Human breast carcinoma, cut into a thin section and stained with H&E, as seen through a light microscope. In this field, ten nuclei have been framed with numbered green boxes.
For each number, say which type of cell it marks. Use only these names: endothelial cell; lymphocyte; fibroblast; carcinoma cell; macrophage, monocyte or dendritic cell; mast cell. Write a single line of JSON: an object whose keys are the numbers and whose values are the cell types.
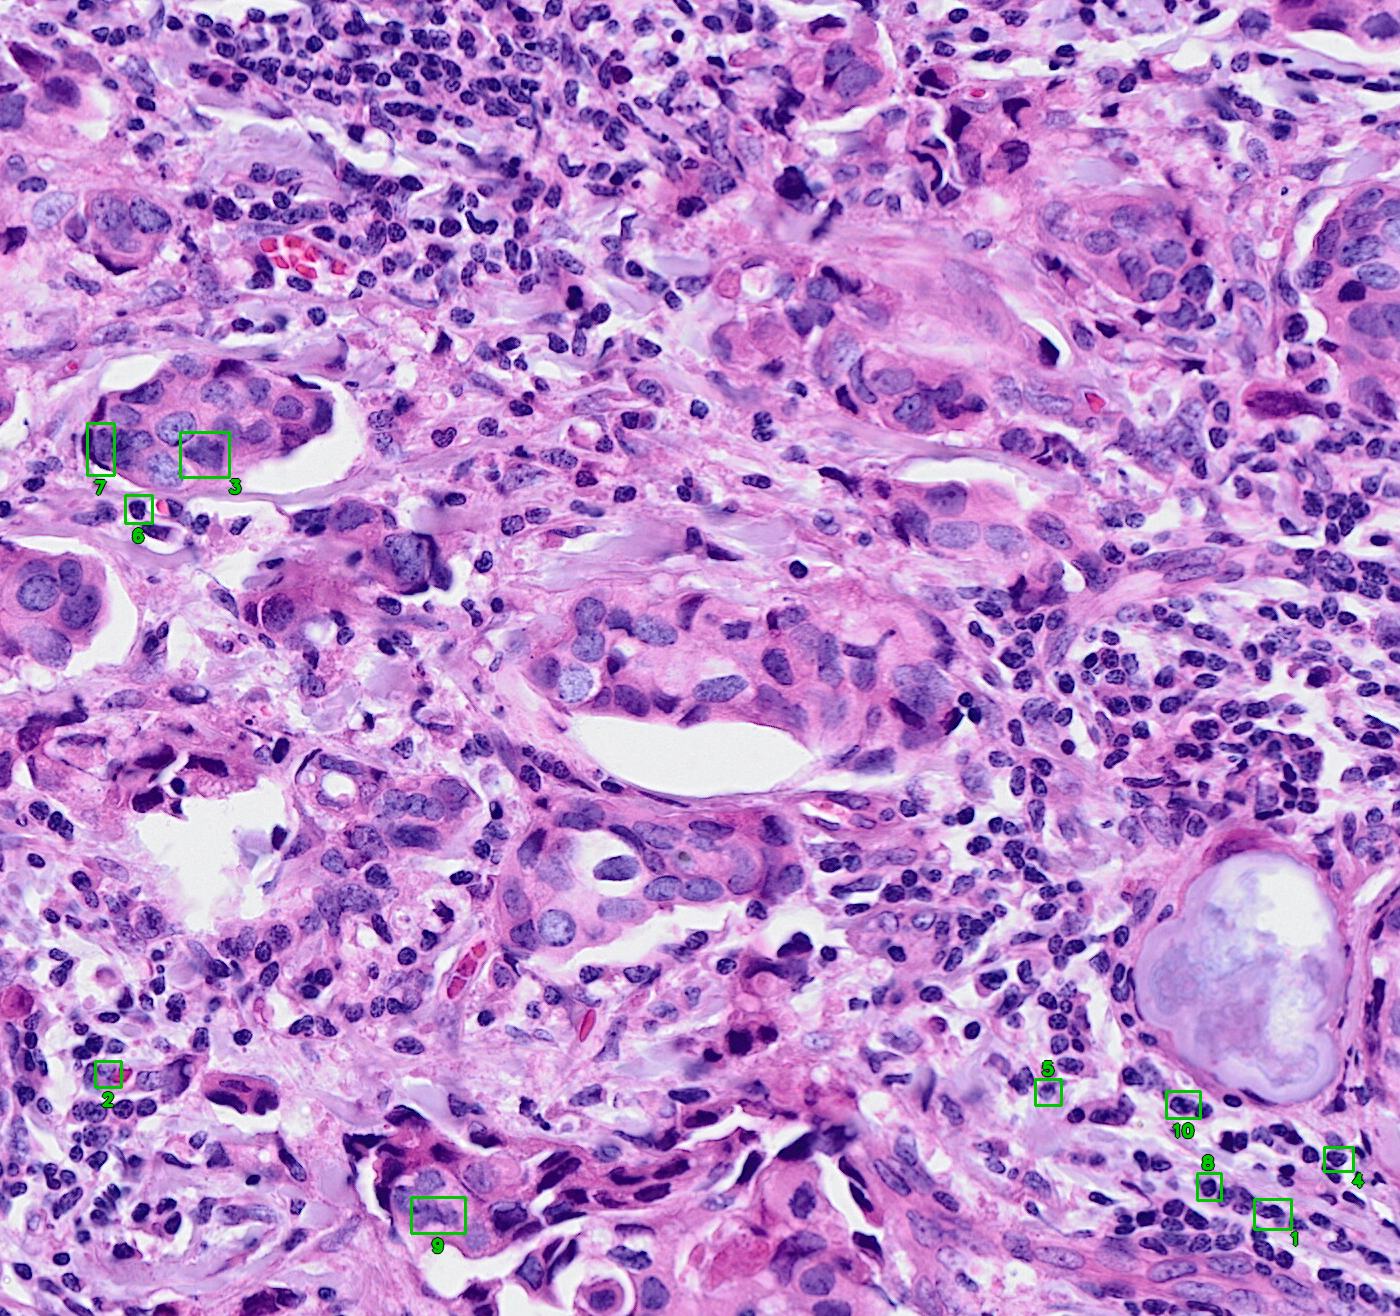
{"1": "lymphocyte", "2": "endothelial cell", "3": "carcinoma cell", "4": "lymphocyte", "5": "lymphocyte", "6": "lymphocyte", "7": "carcinoma cell", "8": "lymphocyte", "9": "carcinoma cell", "10": "lymphocyte"}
